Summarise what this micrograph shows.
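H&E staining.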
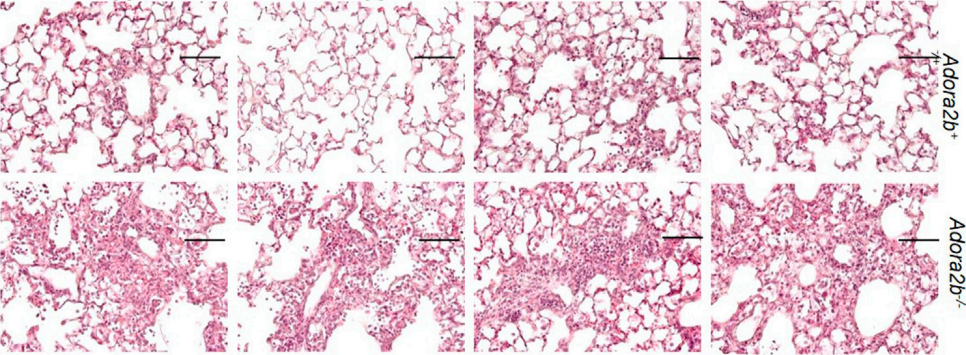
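These are fields of lung parenchyma in pink and purple, with alveolar spaces bounded by septa and scattered small vessels. In some fields the septa are thin and the air spaces open, while in others the septa are thickened and packed with dark purple nuclei, and dense cellular infiltrates consolidate areas around vessels and airspaces.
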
